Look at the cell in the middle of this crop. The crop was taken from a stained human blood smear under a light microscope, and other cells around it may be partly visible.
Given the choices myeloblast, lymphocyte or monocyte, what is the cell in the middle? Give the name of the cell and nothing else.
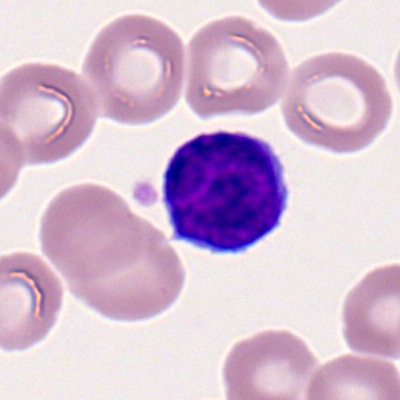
lymphocyte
